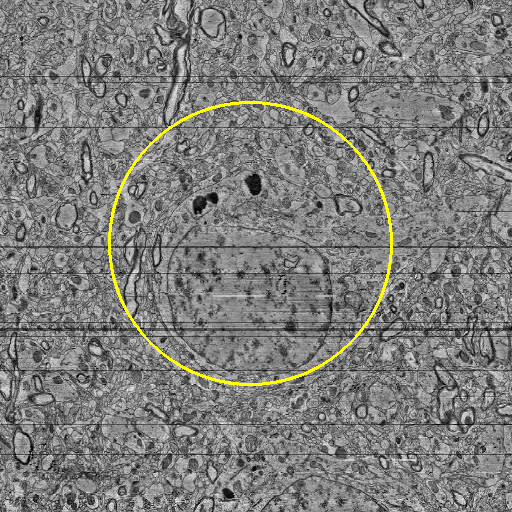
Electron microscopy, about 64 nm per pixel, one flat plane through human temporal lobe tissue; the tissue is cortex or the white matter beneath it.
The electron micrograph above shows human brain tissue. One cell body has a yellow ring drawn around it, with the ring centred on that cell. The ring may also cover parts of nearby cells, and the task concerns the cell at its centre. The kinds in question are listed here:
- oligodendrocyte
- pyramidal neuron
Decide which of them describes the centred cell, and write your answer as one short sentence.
The centred cell is a pyramidal neuron.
